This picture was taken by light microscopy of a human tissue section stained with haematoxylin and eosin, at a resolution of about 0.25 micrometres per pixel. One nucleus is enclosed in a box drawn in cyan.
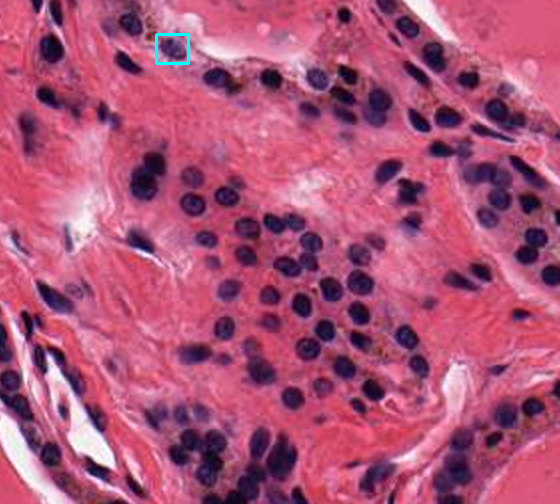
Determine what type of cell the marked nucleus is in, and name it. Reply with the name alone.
thyroid follicular cell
